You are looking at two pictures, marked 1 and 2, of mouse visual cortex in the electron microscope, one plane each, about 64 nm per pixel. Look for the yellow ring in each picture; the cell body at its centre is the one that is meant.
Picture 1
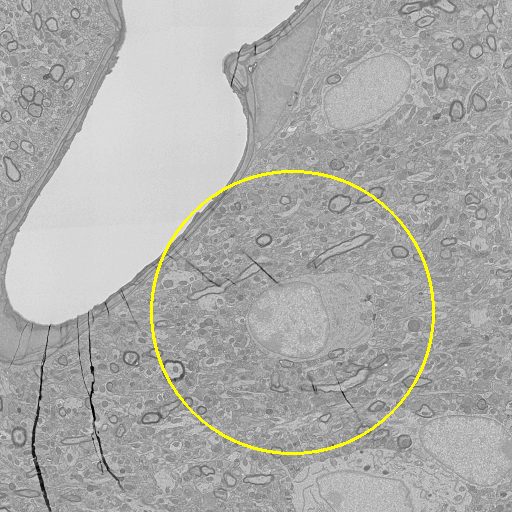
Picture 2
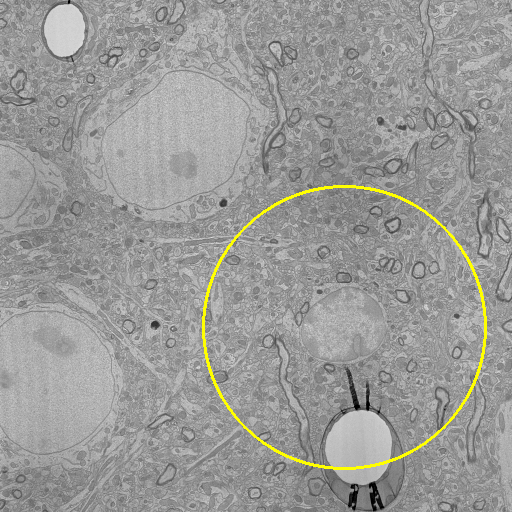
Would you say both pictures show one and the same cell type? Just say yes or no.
yes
